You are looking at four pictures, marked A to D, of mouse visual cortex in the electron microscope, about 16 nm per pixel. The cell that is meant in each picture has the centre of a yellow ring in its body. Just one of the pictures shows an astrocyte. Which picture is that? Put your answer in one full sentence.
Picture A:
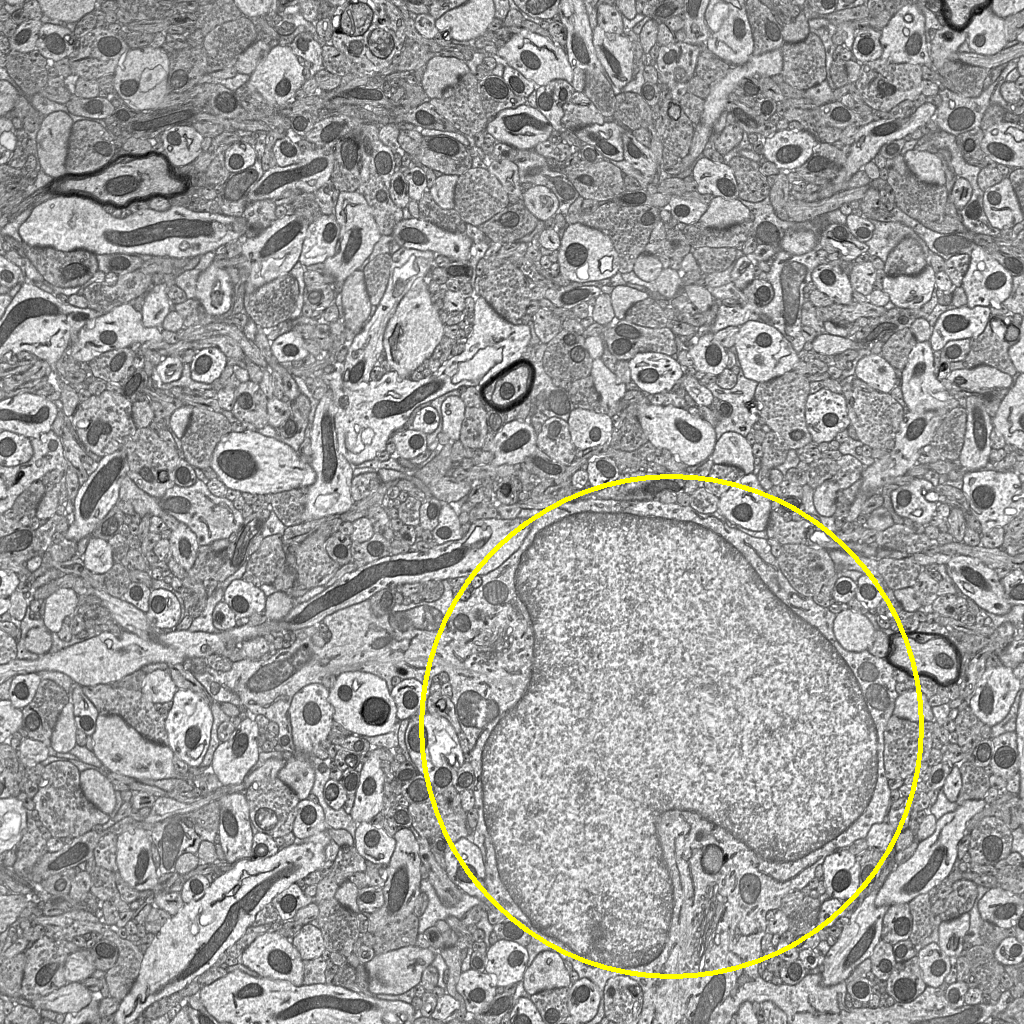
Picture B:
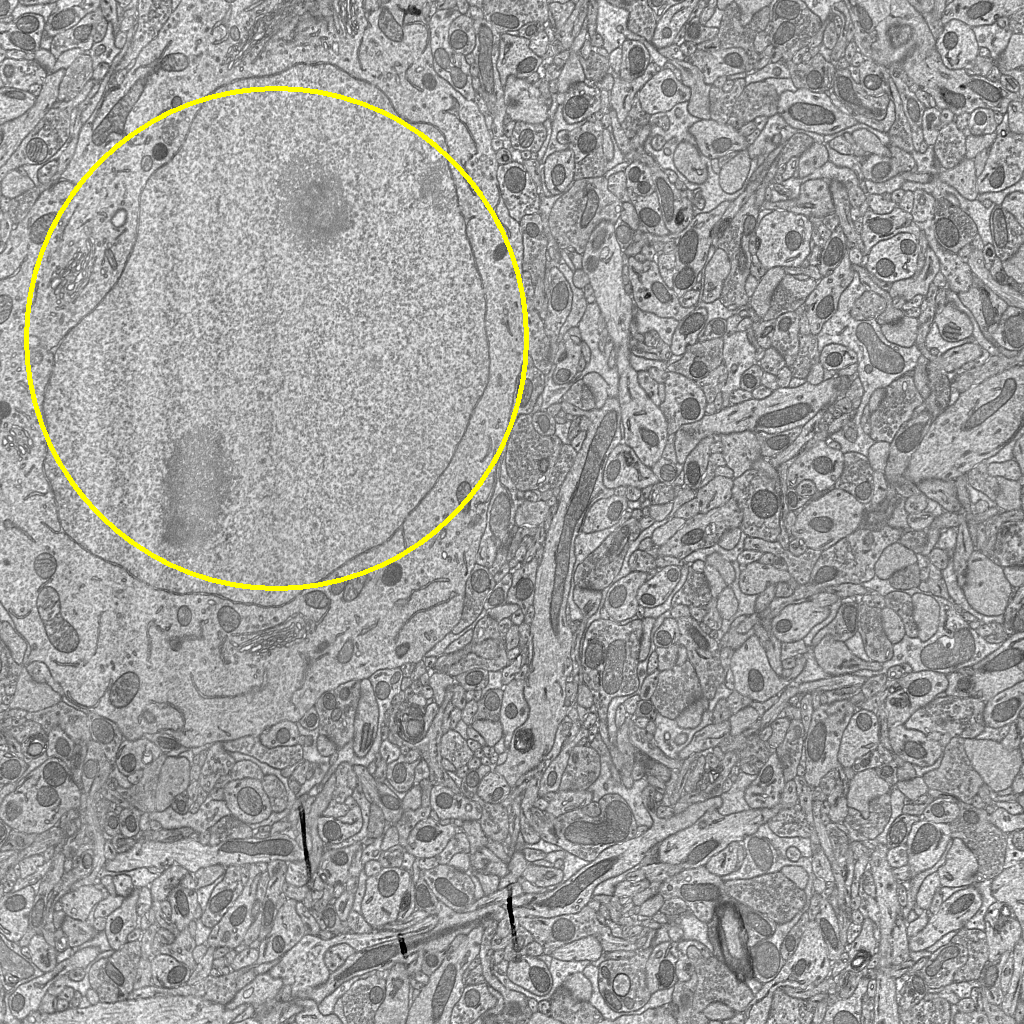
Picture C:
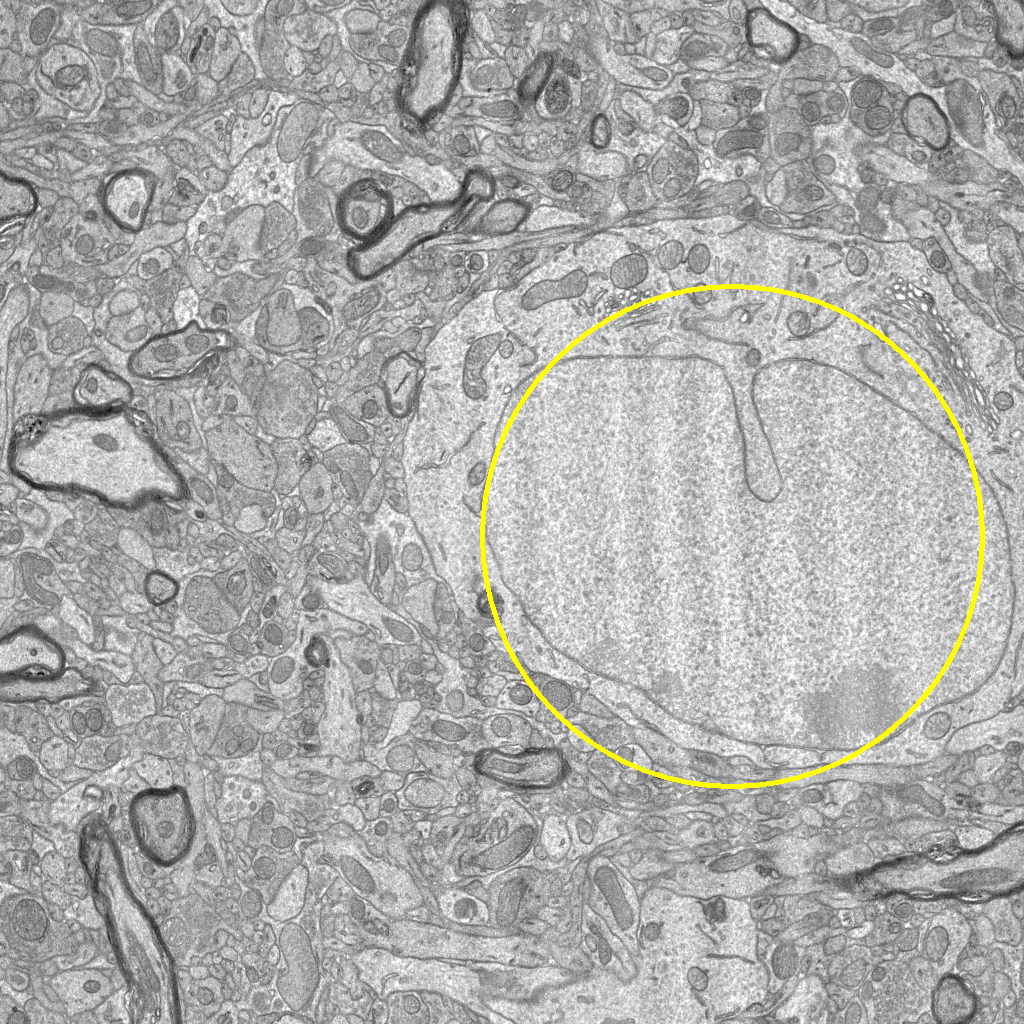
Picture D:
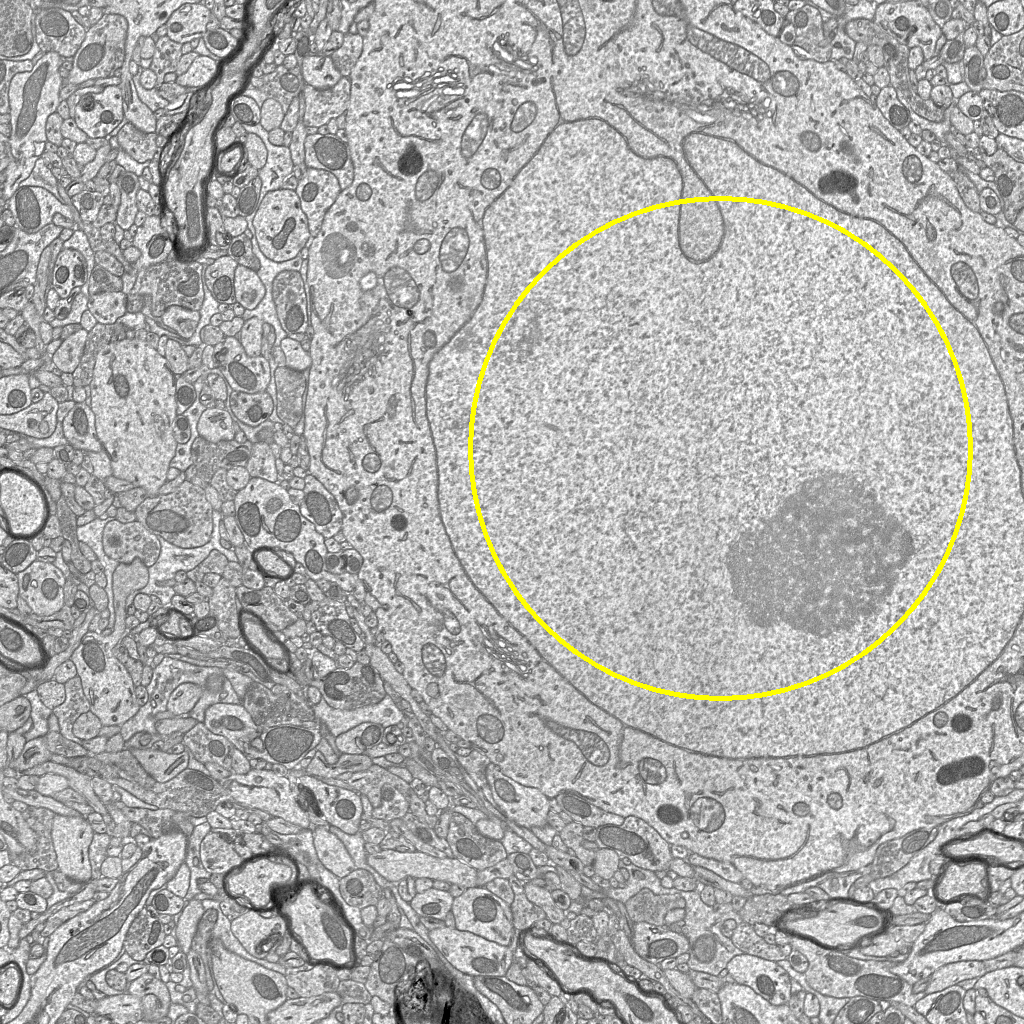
It is picture A that shows the astrocyte.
